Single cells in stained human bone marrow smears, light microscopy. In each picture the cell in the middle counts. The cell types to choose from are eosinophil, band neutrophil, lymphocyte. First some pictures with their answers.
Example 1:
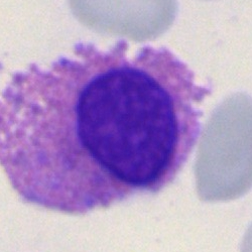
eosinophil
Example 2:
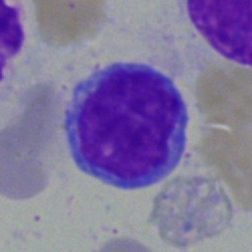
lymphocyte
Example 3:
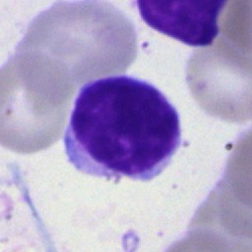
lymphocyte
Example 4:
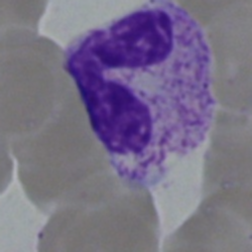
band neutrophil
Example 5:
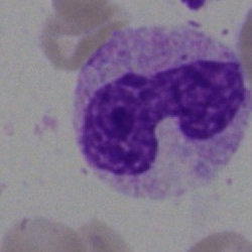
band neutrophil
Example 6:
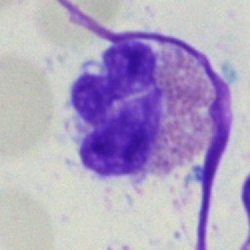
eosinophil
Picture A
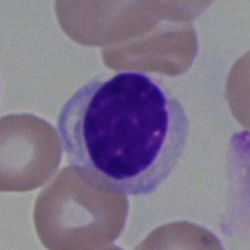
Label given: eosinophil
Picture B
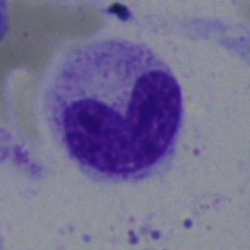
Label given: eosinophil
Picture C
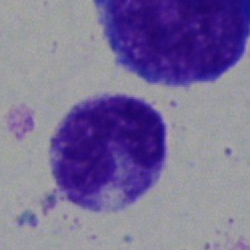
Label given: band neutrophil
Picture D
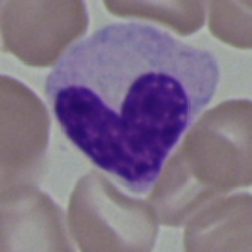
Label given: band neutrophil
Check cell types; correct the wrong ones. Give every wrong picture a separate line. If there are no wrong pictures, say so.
A: lymphocyte, not eosinophil
B: band neutrophil, not eosinophil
